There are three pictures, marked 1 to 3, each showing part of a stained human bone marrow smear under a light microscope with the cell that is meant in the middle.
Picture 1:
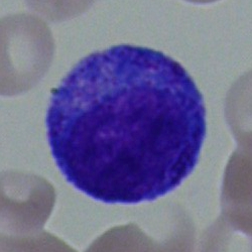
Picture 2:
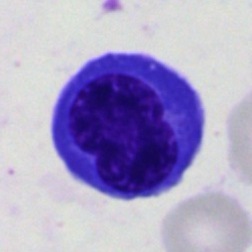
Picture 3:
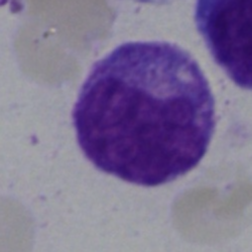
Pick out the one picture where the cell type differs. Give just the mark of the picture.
2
